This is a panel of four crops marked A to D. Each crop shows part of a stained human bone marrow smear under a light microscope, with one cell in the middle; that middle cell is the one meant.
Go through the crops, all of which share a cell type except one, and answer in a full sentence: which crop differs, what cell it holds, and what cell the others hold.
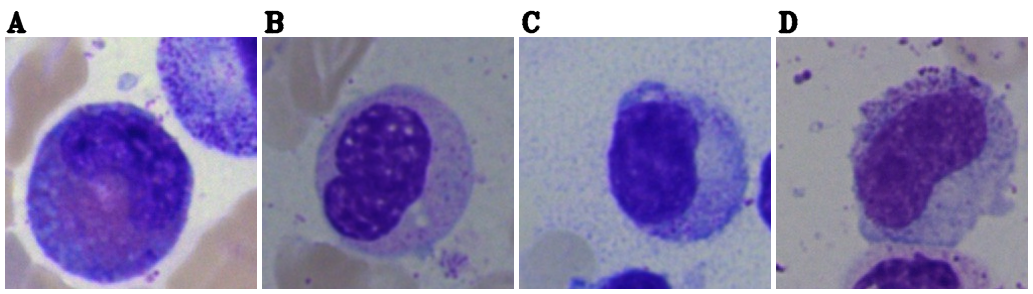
Crop A alone is an eosinophil, and the other crops are all metamyelocytes.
